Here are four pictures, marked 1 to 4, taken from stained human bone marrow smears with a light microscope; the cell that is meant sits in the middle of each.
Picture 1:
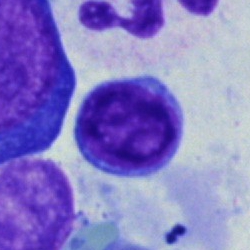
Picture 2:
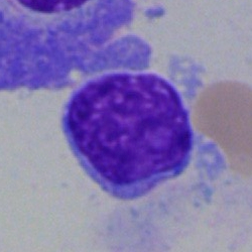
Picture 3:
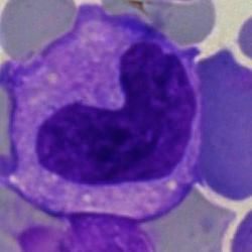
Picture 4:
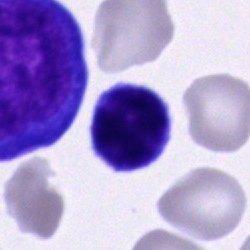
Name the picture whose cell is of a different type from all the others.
3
